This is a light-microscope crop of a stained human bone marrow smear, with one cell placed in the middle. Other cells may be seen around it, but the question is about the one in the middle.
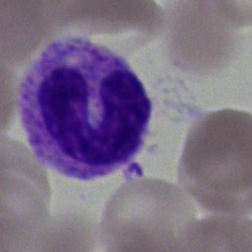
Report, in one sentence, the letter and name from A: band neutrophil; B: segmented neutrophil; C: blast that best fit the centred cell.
Answer key: option A, the middle cell being a band neutrophil.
